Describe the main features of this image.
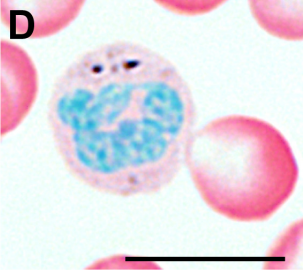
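Here is an eosinophil in a blood smear, lying beside pink red blood cells. Its cytoplasm stains a pale pink and forms a broad round rim around the nucleus. The nucleus stains light blue and is divided into lobes instead of being one round body.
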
